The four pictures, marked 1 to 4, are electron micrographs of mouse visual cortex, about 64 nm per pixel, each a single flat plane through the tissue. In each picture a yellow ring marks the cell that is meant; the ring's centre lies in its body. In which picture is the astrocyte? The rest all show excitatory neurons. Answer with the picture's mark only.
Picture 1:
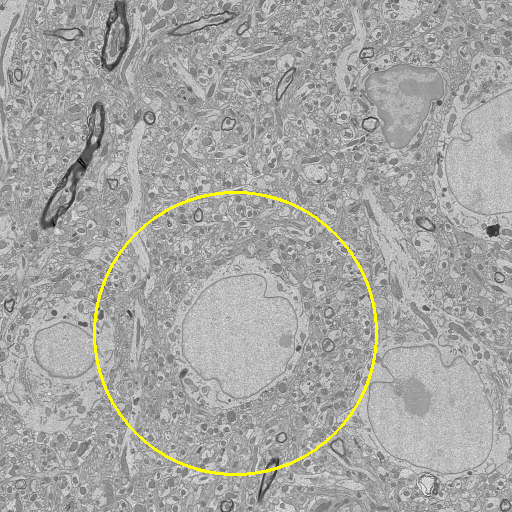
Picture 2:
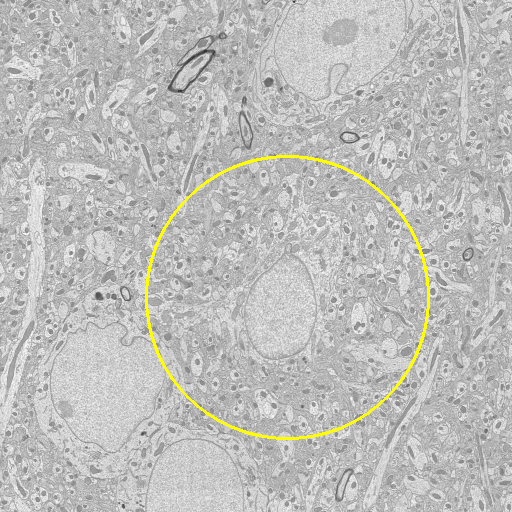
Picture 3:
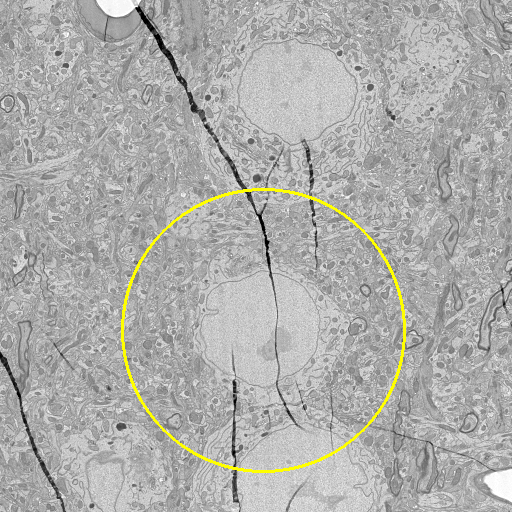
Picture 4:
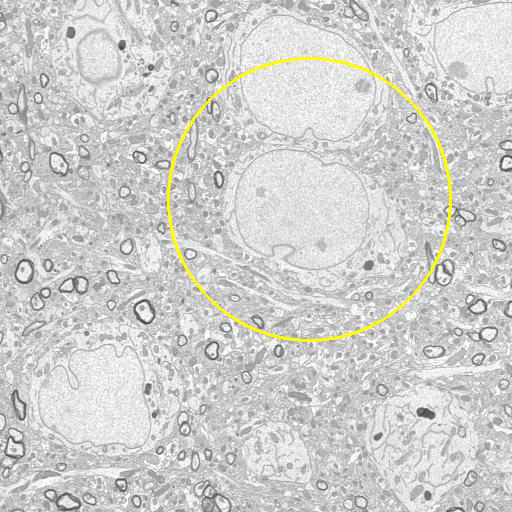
2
